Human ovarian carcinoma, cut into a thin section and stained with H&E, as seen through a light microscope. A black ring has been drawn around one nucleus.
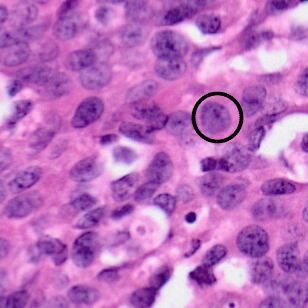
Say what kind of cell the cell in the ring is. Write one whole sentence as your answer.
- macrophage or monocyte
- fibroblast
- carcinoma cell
Cell type answer for this item: the cell in the ring is a carcinoma cell.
